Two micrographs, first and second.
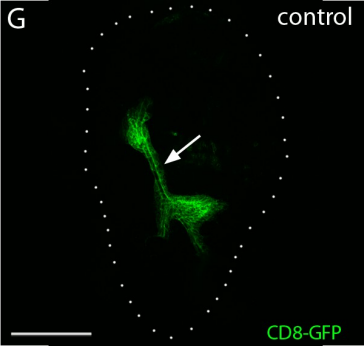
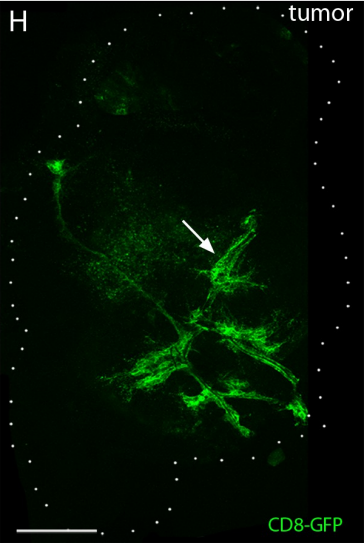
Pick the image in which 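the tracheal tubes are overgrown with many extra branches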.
the second image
